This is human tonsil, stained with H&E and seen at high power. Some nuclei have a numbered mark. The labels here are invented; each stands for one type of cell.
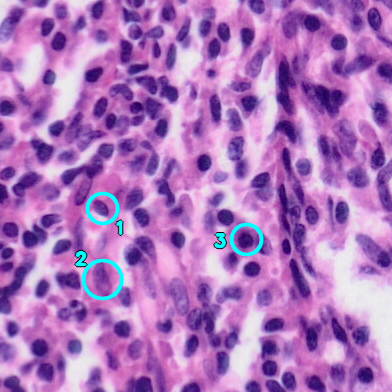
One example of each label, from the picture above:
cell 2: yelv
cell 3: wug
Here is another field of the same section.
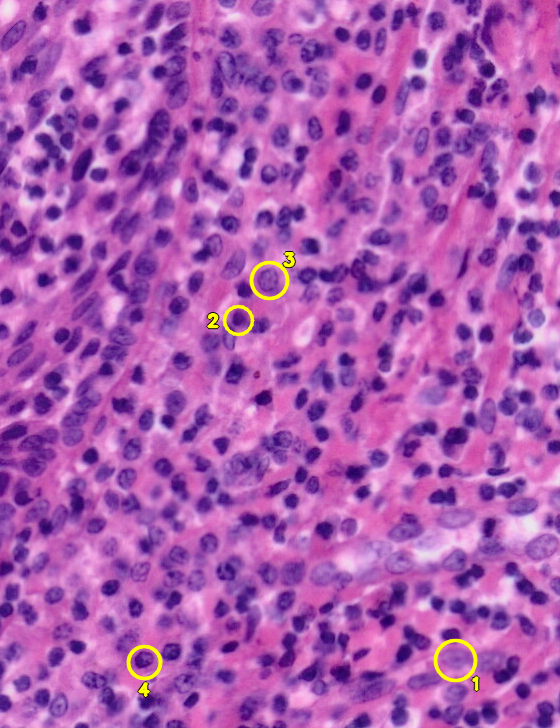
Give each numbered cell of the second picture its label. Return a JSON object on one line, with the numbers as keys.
{"1": "yelv", "2": "wug", "3": "wug", "4": "wug"}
